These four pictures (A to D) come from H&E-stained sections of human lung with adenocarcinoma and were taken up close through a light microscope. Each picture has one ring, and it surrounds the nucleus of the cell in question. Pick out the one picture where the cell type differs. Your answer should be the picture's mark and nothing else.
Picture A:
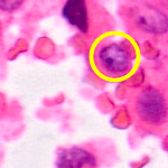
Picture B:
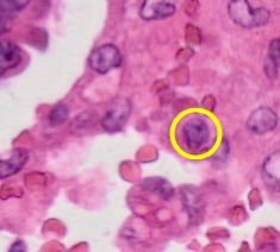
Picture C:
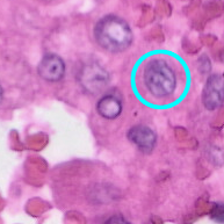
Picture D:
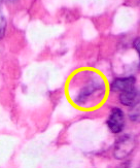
D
